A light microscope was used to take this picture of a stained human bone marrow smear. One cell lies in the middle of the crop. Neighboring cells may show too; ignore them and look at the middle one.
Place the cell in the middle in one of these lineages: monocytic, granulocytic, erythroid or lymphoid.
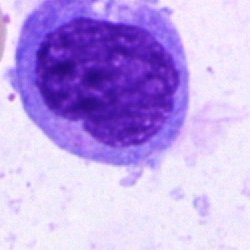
monocytic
